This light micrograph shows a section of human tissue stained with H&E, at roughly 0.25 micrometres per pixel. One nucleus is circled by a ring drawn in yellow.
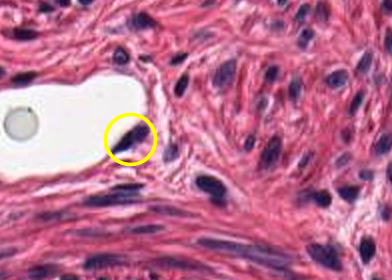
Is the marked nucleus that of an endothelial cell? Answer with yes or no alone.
yes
